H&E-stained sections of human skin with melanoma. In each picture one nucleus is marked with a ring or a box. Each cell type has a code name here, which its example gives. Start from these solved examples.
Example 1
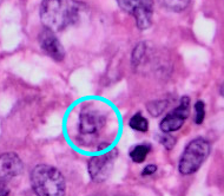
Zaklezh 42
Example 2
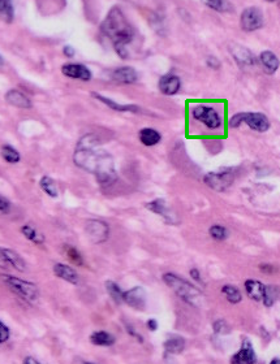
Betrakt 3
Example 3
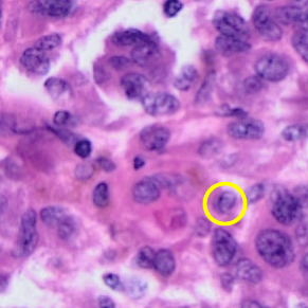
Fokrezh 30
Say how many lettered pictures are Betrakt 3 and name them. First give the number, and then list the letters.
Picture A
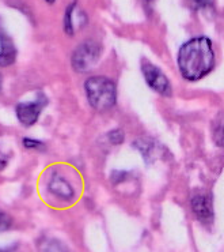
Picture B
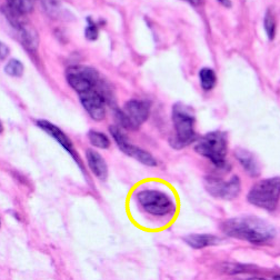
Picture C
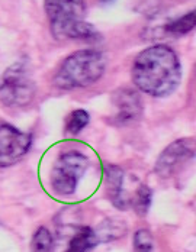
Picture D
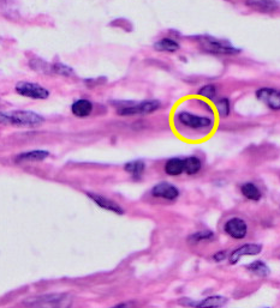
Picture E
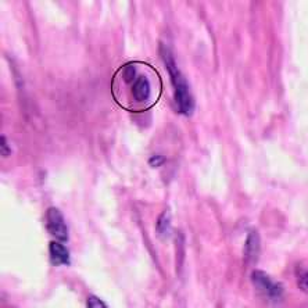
2: D, E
